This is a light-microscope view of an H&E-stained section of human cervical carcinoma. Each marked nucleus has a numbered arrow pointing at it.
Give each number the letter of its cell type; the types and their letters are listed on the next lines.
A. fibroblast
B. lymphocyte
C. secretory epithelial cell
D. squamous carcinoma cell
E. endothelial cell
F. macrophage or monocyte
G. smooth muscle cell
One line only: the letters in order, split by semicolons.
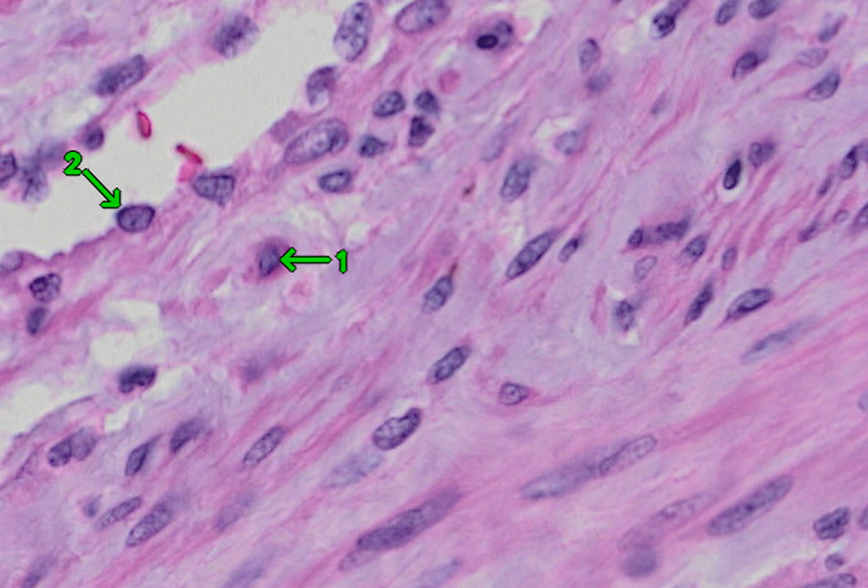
G; E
